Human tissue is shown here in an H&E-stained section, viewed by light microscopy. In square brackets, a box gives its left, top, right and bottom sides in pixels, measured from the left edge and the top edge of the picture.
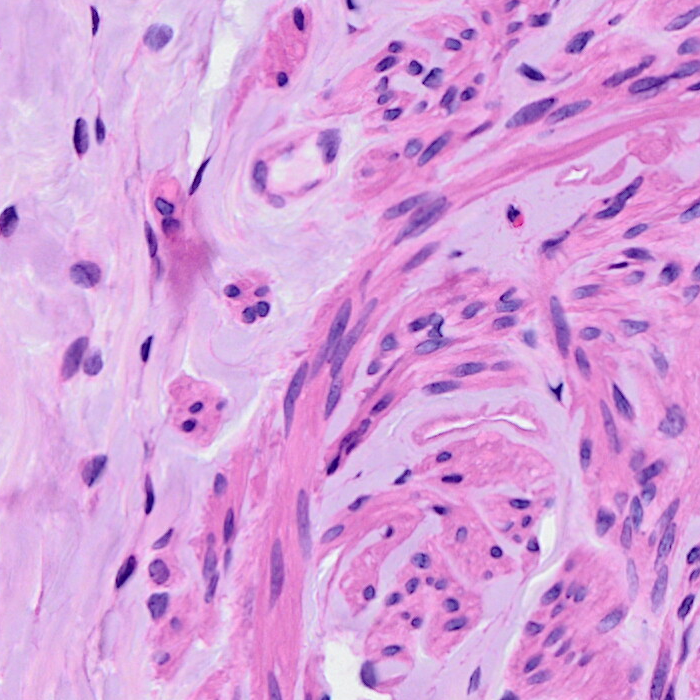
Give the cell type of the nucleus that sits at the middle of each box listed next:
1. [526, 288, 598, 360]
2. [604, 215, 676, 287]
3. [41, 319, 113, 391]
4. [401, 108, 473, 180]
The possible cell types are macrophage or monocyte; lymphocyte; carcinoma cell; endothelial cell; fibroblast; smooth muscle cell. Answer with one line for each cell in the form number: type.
1: smooth muscle cell
2: smooth muscle cell
3: fibroblast
4: smooth muscle cell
